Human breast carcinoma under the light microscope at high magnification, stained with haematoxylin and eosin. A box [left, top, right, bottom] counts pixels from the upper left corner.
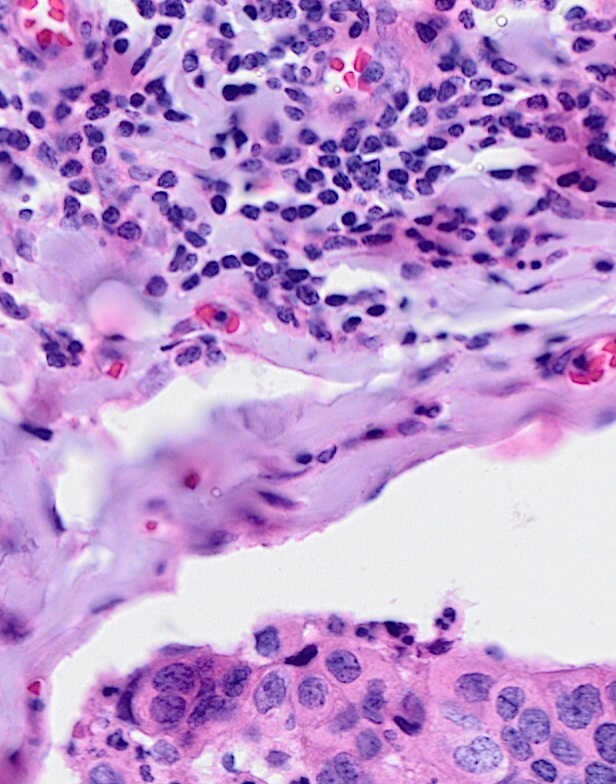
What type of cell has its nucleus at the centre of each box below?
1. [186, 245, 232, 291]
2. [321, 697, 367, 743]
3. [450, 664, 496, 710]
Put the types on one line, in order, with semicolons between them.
lymphocyte; carcinoma cell; carcinoma cell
